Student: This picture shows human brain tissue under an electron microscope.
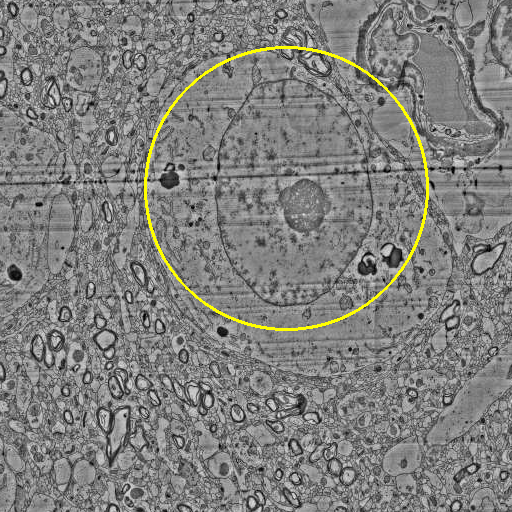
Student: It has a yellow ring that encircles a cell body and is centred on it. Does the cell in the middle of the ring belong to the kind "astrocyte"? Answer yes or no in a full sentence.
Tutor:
No, the cell in the middle of the ring in this picture is of another kind.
